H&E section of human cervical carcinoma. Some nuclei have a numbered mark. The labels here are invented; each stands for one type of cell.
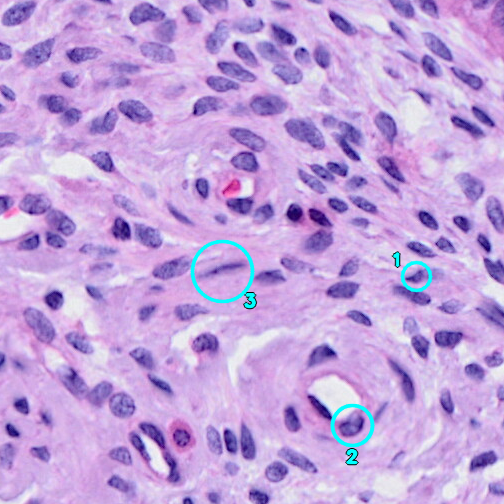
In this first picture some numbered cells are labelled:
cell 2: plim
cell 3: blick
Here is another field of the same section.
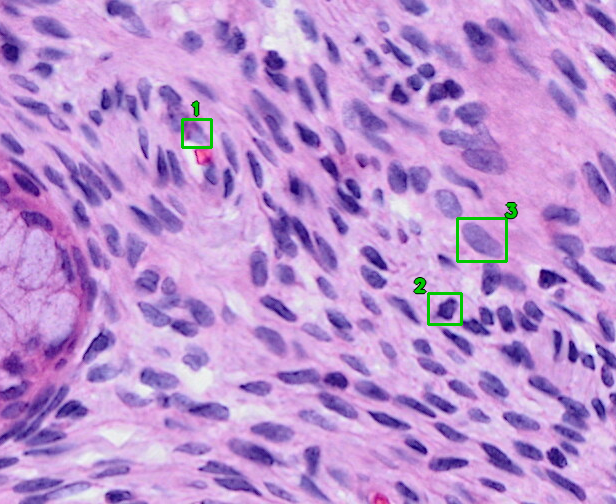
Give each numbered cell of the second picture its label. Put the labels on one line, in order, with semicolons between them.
plim; blick; blick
